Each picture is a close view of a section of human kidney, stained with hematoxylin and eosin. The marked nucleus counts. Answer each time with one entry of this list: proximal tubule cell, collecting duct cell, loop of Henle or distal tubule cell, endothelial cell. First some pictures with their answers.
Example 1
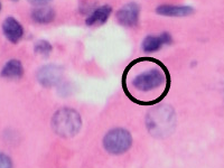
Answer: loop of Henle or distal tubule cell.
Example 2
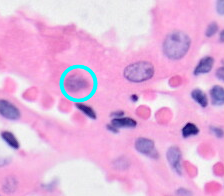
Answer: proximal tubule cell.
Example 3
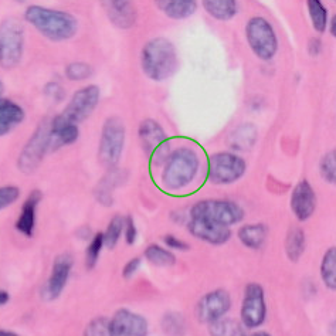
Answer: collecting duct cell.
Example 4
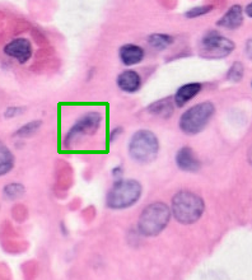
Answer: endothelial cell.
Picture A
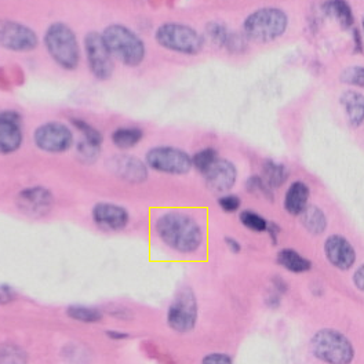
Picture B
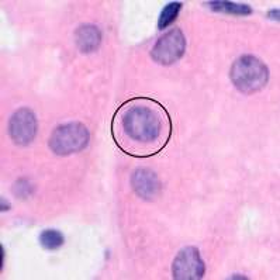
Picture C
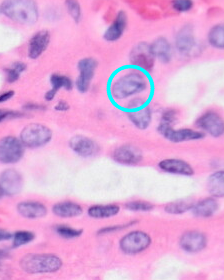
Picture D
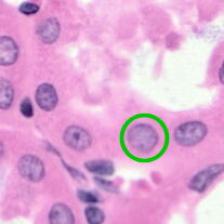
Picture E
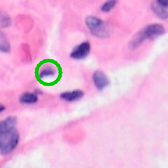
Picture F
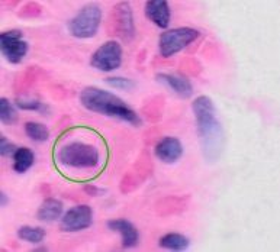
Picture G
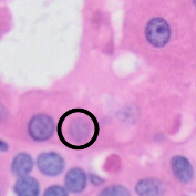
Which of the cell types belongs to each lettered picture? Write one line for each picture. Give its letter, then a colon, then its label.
A: loop of Henle or distal tubule cell.
B: proximal tubule cell.
C: collecting duct cell.
D: proximal tubule cell.
E: endothelial cell.
F: endothelial cell.
G: proximal tubule cell.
